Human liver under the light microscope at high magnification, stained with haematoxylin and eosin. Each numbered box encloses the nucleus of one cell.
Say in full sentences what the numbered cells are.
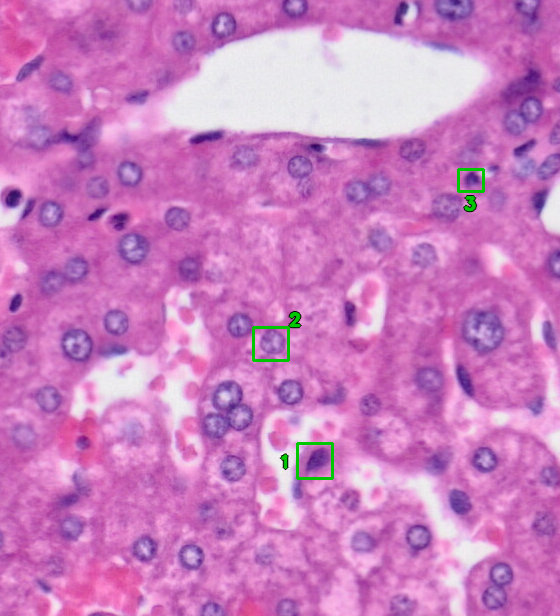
Cell 1 is a fibroblast or stellate cell, cell 2 is a hepatocyte and cell 3 is a fibroblast or stellate cell.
